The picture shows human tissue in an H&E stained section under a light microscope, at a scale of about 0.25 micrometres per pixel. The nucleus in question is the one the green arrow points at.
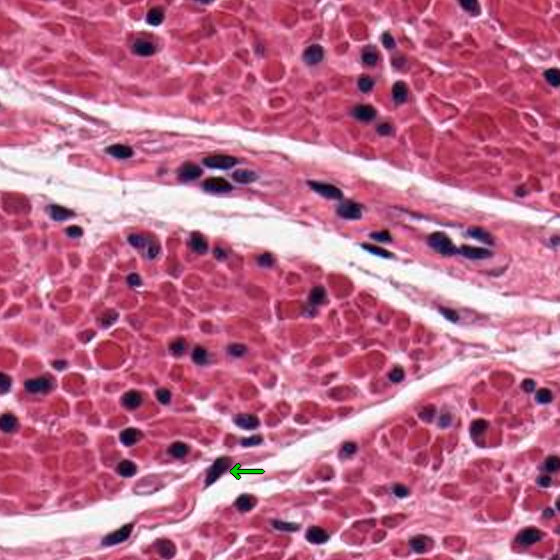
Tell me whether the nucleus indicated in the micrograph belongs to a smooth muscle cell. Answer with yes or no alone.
no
